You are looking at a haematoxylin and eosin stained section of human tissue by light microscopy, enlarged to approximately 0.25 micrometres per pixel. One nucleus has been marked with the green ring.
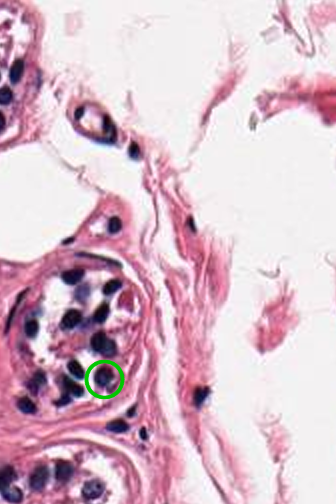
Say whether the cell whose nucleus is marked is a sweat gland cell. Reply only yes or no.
yes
